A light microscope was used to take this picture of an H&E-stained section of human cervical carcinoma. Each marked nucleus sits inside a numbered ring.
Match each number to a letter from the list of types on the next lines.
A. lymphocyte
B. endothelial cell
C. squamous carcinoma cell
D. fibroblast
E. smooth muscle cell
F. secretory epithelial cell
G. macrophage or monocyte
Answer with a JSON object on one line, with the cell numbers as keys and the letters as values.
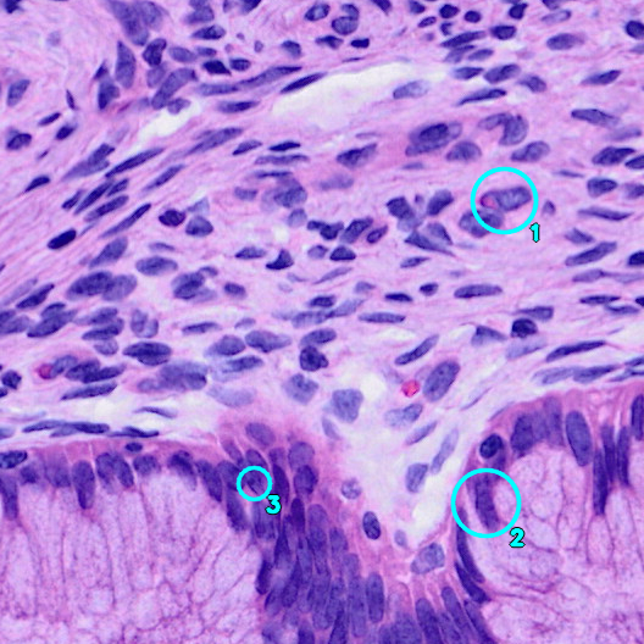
{"1": "B", "2": "F", "3": "F"}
